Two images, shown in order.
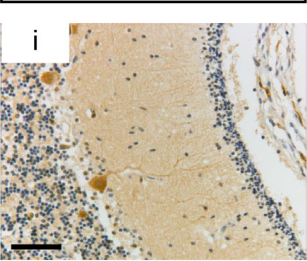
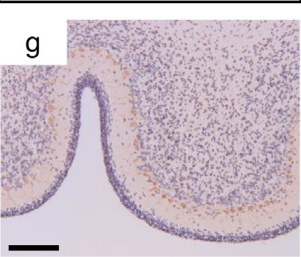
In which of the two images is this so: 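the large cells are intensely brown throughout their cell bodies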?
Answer: the first image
